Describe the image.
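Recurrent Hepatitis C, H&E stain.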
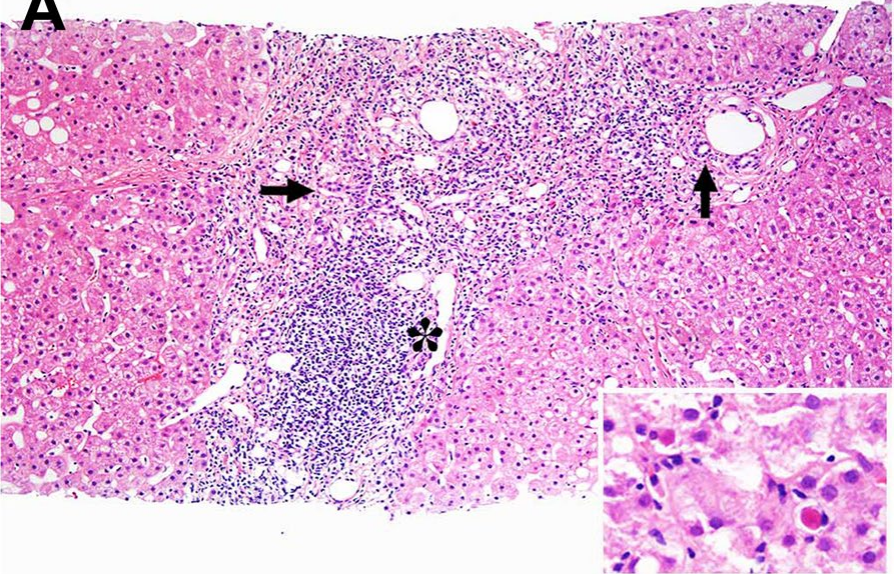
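This is liver tissue with a portal tract expanded by dense chronic inflammation of small lymphocytes. Within it lies a rounded, nodular lymphoid aggregate of closely packed small cells with dark round nuclei. Small bile ducts lined by cuboidal epithelium and small vessels with open lumens remain within the inflamed tract. On either side are plates of large polygonal hepatocytes with pink cytoplasm and round central nuclei, some containing clear fat vacuoles. The enlarged inset shows swollen hepatocytes with scattered inflammatory cells and a shrunken, rounded, intensely eosinophilic cell, a feature of lobular necroinflammatory activity.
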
